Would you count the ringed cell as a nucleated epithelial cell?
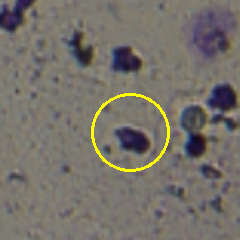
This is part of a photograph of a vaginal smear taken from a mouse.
No, I would count it as a leukocyte.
